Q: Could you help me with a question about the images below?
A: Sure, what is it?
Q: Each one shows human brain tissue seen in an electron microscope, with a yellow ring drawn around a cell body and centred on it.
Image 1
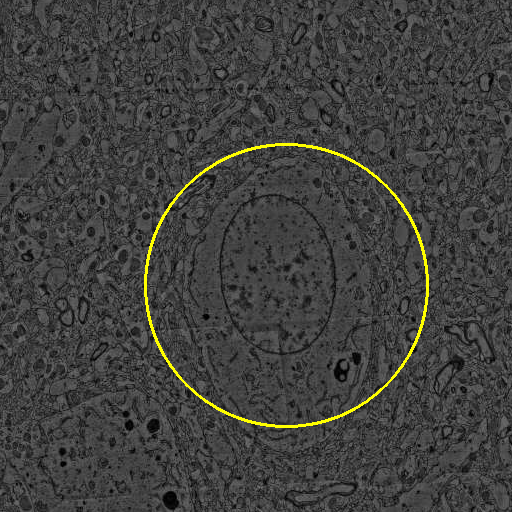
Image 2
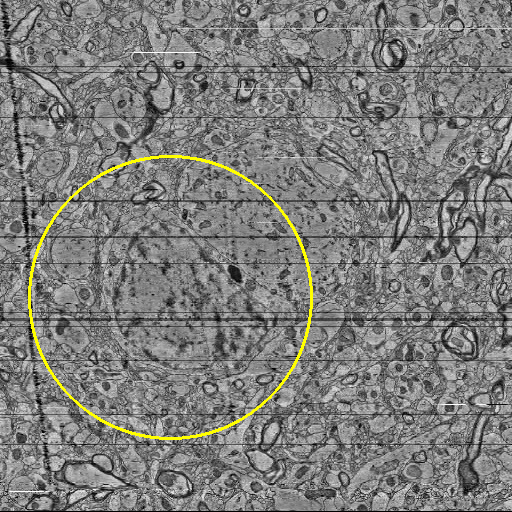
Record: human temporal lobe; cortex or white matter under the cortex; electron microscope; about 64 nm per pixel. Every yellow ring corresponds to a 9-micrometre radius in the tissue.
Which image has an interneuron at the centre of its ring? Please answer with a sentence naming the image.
Image 2 has it at the centre of its ring.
